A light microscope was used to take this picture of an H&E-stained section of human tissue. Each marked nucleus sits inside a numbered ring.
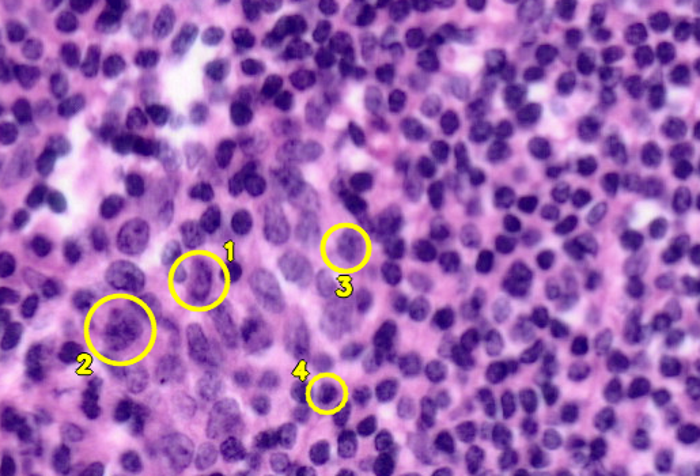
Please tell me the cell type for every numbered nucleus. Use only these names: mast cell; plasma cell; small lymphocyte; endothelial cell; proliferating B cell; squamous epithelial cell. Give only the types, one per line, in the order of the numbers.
proliferating B cell
proliferating B cell
proliferating B cell
small lymphocyte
